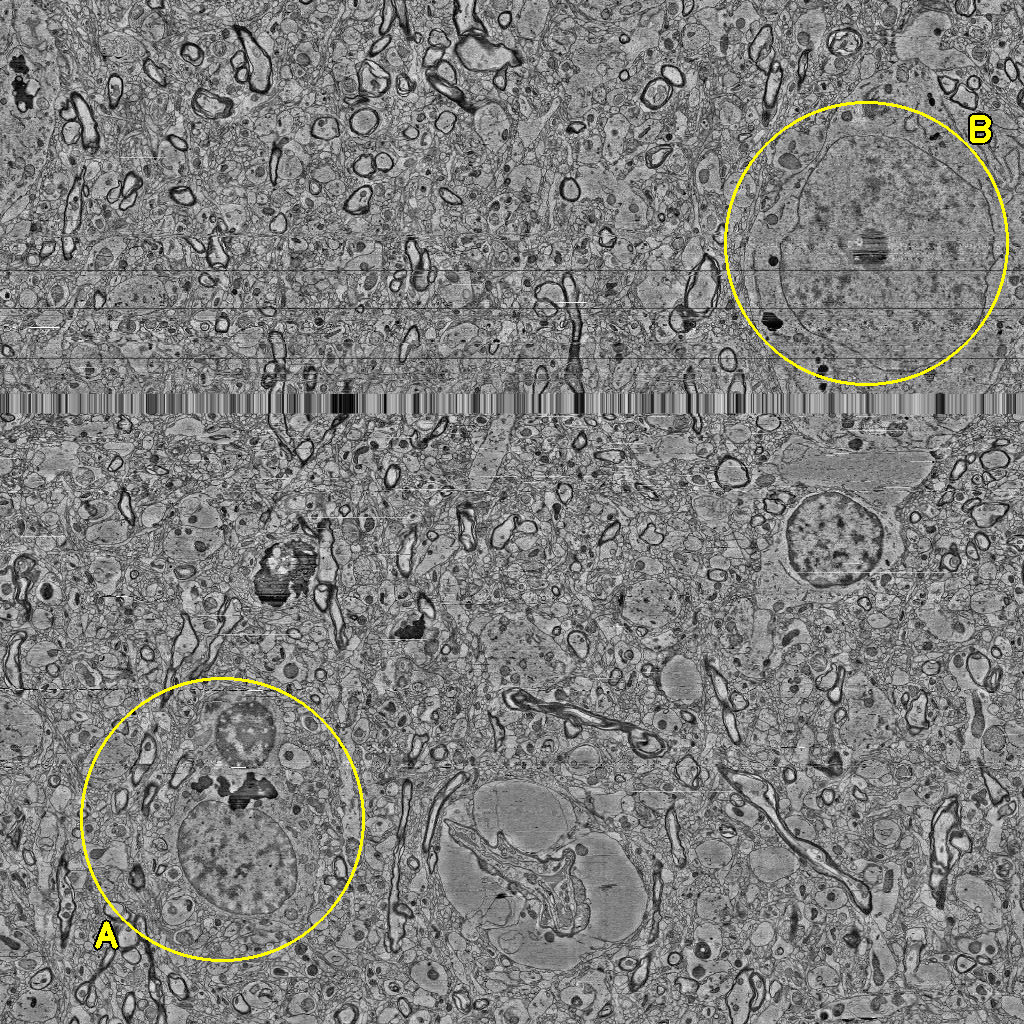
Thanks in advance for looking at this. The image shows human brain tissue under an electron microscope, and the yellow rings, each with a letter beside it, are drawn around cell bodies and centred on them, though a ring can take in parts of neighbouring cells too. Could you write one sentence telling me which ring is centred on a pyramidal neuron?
Ring B is centred on it.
